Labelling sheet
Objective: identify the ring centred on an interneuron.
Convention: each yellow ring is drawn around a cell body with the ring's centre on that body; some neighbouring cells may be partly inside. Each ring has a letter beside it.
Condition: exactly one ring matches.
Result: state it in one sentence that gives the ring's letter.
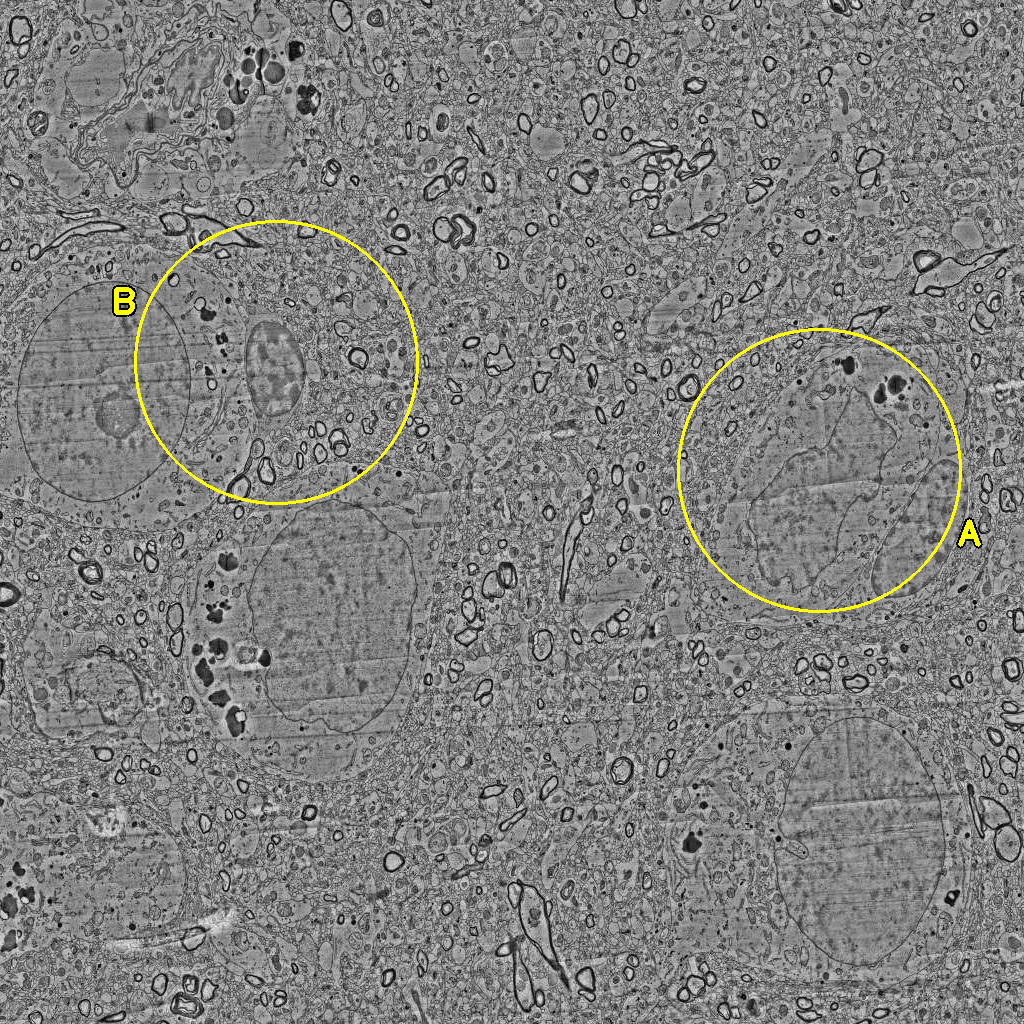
It lies at the centre of ring A.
